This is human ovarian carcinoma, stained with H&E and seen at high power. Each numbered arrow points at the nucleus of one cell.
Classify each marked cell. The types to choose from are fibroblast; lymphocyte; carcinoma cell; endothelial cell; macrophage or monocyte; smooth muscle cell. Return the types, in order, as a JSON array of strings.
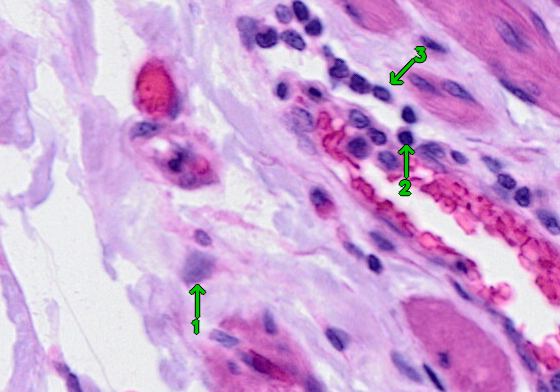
["fibroblast", "lymphocyte", "lymphocyte"]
